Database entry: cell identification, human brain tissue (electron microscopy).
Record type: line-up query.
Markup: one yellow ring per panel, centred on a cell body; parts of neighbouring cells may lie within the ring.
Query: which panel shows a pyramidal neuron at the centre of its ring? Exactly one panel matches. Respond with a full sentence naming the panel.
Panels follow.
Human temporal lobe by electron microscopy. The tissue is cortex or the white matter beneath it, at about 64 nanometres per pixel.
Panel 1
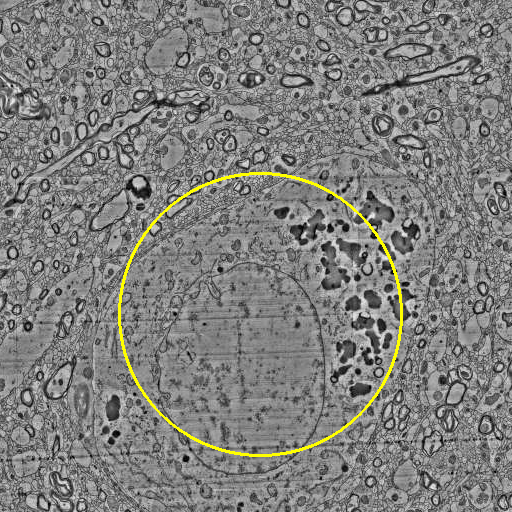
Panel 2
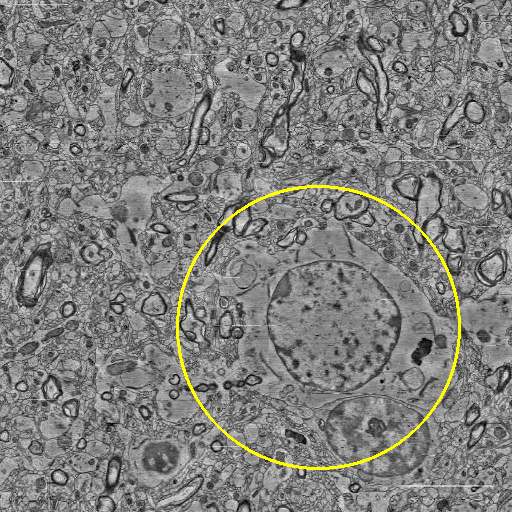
Panel 1 shows it at the centre of the ring.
